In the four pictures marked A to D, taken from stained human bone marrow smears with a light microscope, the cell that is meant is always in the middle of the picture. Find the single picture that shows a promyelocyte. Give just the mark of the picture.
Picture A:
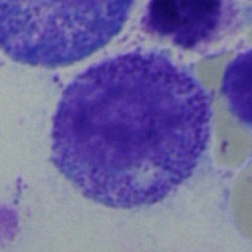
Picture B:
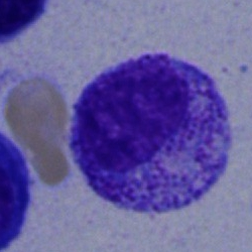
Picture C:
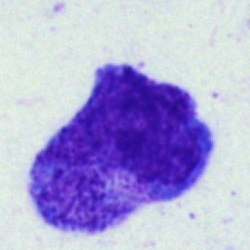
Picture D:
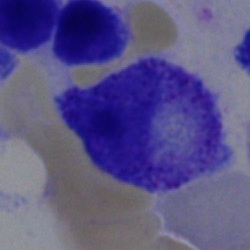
C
